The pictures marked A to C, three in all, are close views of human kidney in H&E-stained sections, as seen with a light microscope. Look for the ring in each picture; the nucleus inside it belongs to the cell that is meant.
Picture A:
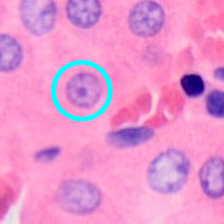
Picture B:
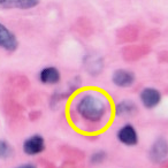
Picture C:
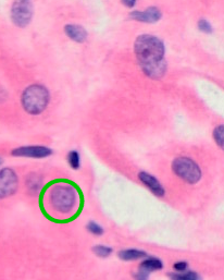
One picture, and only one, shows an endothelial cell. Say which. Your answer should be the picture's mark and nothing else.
B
